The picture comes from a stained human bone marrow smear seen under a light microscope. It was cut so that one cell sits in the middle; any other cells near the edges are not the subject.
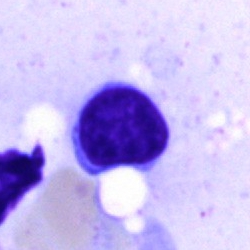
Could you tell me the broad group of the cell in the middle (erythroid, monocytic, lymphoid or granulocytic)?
lymphoid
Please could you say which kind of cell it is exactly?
lymphocyte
